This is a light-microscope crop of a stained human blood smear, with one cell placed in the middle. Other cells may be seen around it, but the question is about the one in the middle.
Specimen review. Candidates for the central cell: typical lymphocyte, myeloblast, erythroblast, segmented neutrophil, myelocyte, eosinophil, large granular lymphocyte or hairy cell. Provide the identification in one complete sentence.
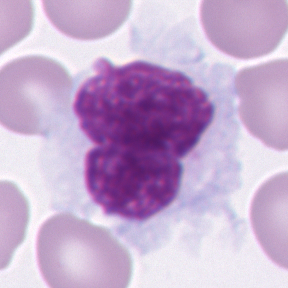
The centrally positioned cell in the crop represents a hairy cell.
